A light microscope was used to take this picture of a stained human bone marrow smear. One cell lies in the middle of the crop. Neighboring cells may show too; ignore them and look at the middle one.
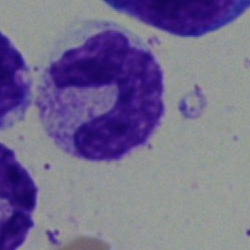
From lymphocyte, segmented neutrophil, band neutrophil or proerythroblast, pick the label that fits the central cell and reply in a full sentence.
Centrally within this crop lies a band neutrophil.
